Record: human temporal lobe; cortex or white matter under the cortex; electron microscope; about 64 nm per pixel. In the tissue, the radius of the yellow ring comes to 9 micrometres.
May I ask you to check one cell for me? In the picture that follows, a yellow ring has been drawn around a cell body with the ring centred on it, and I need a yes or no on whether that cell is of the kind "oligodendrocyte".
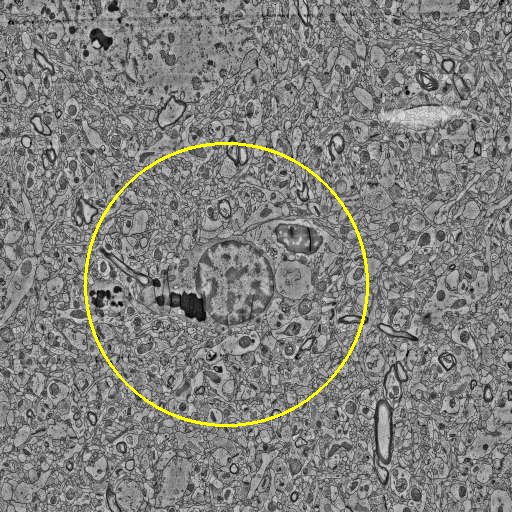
Yes, it is that kind of cell.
